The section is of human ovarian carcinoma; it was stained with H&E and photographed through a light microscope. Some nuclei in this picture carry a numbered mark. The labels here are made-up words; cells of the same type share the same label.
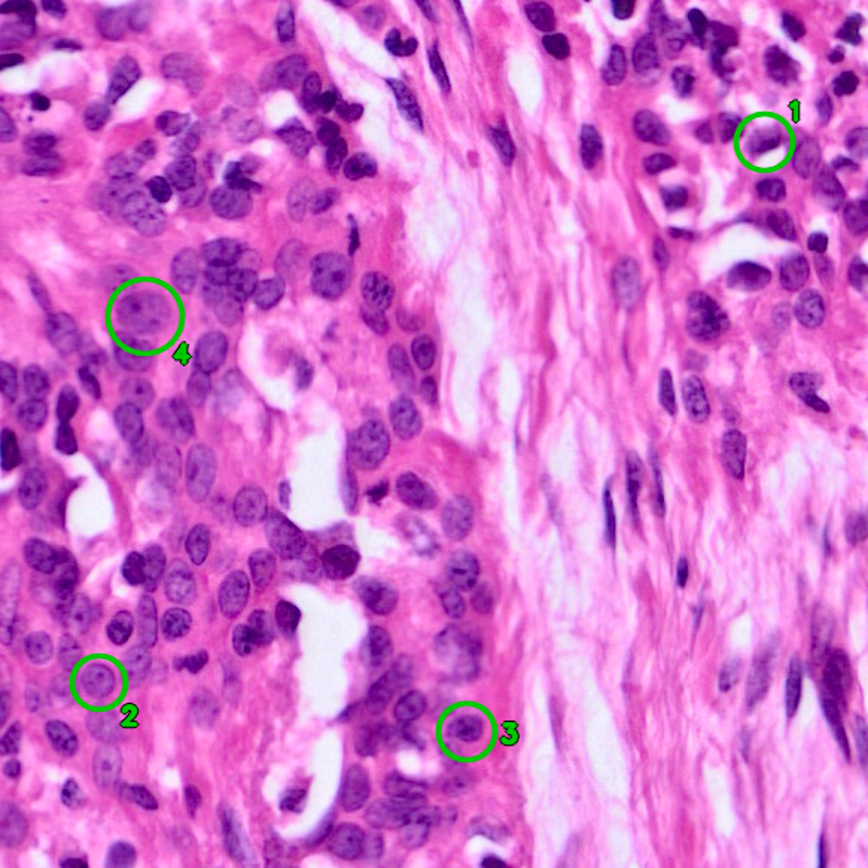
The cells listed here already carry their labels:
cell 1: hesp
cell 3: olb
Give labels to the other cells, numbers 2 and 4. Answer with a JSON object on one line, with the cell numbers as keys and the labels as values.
{"2": "hesp", "4": "hesp"}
